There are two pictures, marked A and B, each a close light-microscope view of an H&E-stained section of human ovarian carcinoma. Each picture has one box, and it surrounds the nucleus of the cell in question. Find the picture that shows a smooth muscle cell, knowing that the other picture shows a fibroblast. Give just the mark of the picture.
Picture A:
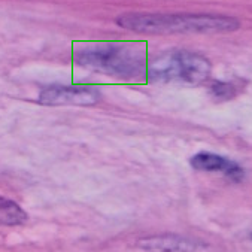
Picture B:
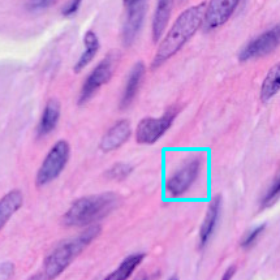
B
